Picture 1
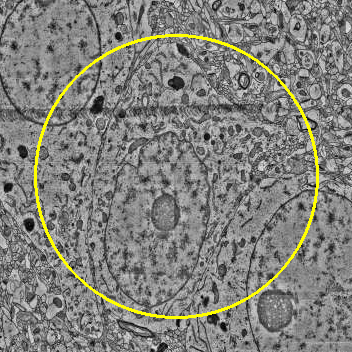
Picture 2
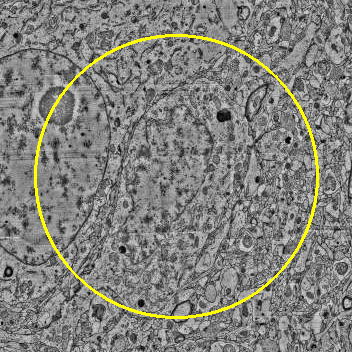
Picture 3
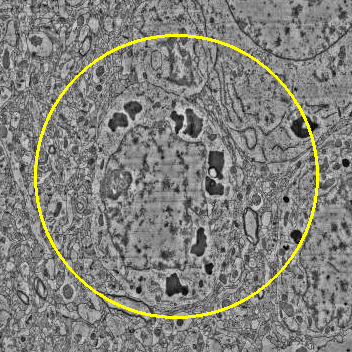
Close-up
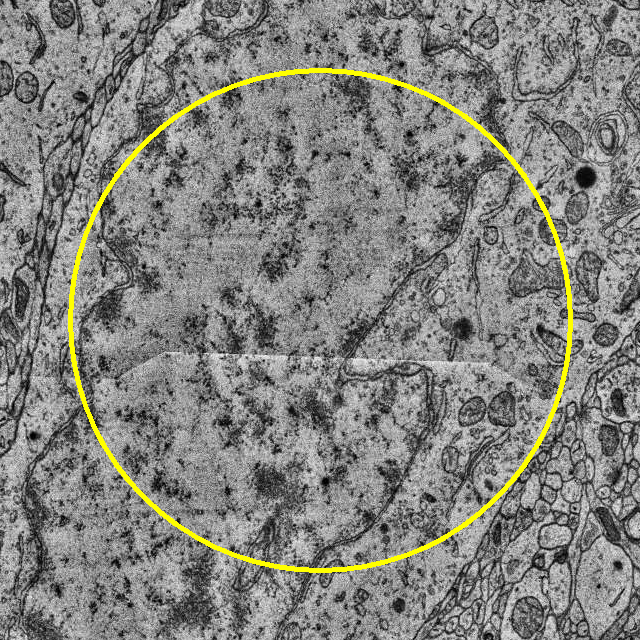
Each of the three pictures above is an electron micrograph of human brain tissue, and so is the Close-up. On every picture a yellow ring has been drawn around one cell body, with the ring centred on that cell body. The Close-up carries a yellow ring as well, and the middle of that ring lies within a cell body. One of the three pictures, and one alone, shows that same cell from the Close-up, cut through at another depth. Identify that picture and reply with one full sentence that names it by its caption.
The cell shown in the close-up is the one marked in Picture 2.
